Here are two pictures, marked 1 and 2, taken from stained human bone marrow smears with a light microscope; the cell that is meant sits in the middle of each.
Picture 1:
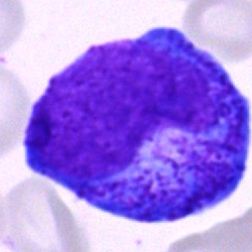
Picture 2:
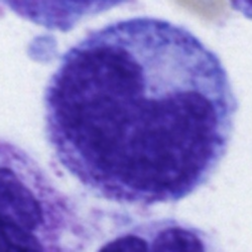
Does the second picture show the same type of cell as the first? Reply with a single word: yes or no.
yes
